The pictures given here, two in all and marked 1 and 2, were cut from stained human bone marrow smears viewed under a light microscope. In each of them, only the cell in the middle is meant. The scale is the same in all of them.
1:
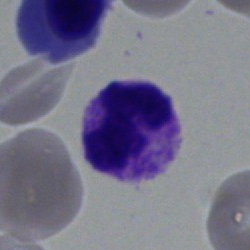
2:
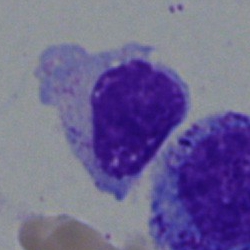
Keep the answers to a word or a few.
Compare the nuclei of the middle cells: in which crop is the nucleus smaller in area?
1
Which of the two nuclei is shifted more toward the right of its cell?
2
